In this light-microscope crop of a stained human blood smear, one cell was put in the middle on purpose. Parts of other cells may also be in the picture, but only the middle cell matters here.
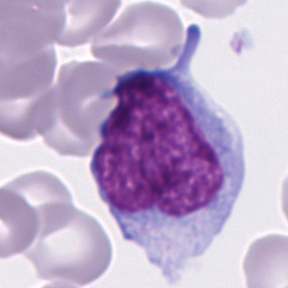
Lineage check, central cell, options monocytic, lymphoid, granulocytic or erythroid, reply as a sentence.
Regarding lineage, the cell in the center of this crop should be listed as monocytic.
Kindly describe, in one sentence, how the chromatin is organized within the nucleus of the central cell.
What stands out is fine chromatin lacking any coarse clumps.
